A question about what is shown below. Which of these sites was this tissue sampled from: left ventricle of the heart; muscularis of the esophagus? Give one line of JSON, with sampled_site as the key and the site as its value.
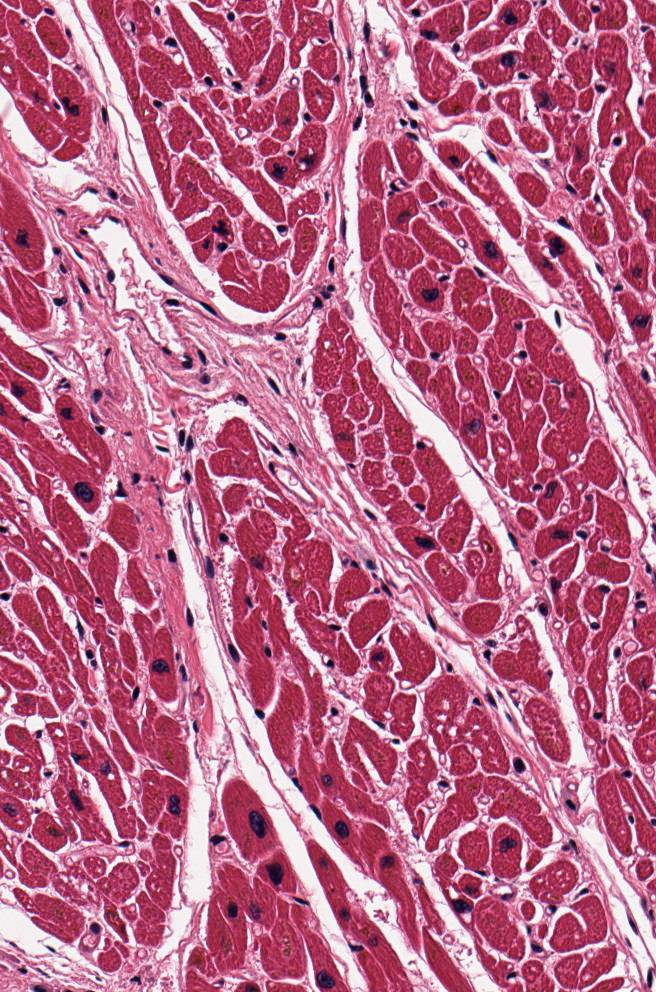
{"sampled_site": "left ventricle of the heart"}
